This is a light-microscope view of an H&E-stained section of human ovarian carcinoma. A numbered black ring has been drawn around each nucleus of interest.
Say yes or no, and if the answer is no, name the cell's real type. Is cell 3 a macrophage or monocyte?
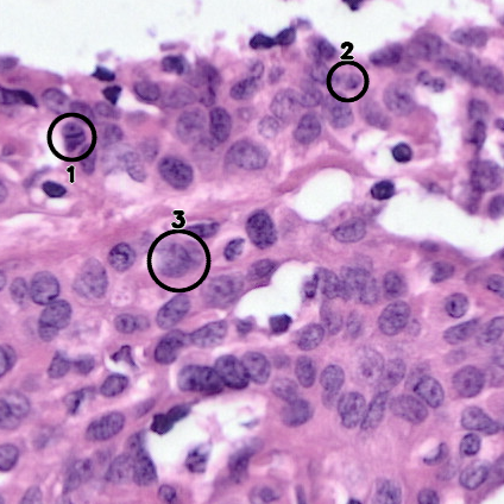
No, it is a carcinoma cell.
